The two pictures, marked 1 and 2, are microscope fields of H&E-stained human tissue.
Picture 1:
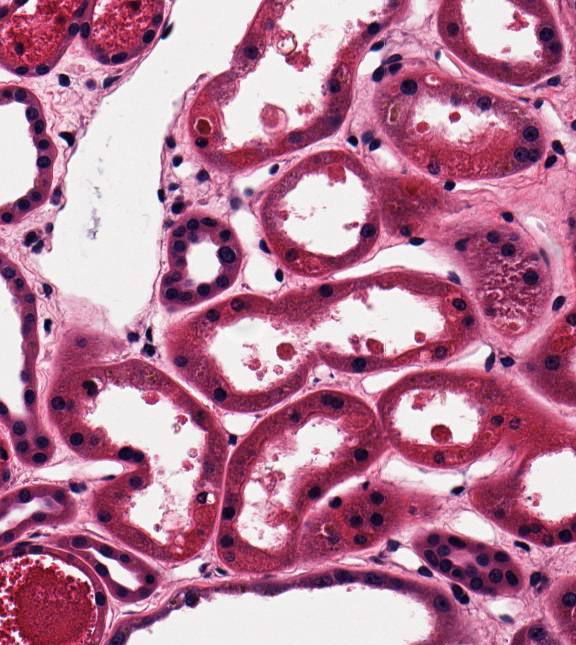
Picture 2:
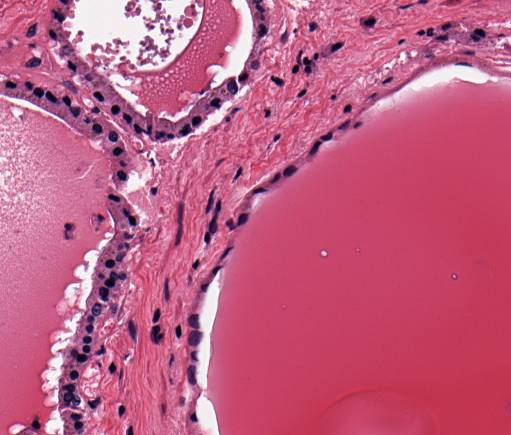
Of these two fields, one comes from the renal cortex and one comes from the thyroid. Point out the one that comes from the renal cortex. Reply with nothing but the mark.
1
